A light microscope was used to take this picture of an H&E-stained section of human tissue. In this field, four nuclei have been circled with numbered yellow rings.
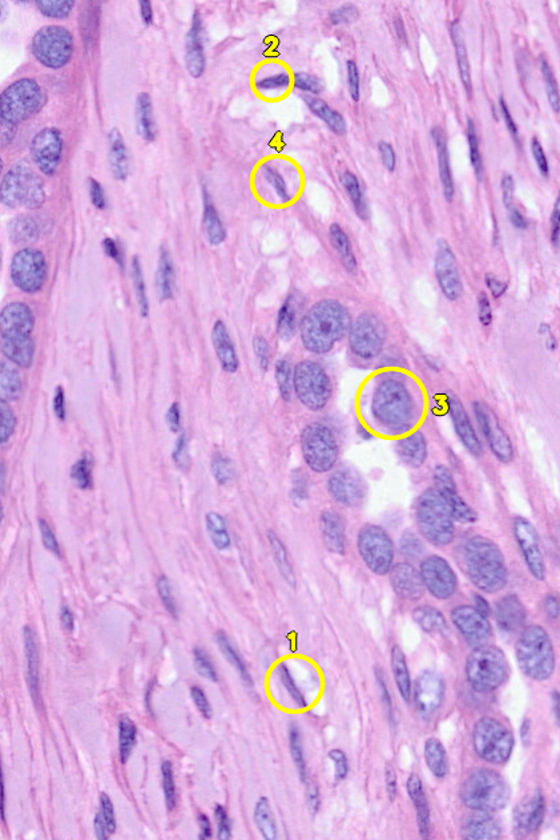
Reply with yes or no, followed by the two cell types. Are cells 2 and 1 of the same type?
Yes, note that cells 2 and 1 are both fibroblasts.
